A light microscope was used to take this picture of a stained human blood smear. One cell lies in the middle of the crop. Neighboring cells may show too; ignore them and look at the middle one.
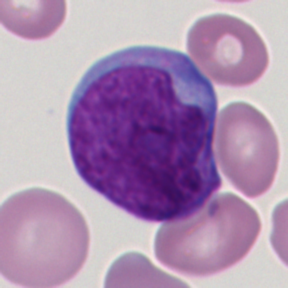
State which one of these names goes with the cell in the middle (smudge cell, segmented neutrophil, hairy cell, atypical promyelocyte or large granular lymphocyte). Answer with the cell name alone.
atypical promyelocyte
